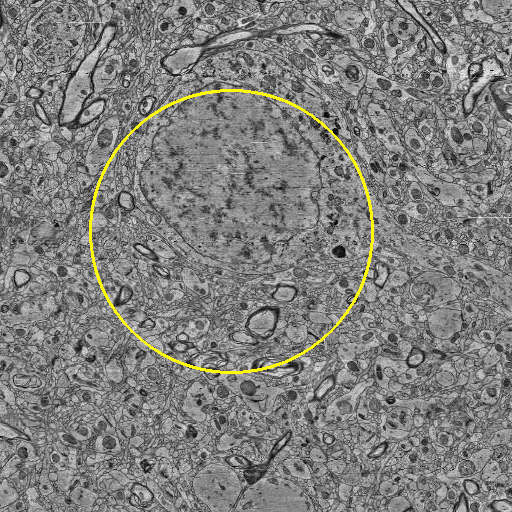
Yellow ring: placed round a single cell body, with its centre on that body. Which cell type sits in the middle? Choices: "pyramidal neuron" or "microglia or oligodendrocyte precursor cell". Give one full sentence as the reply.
It is a pyramidal neuron whose cell body sits at the centre of the yellow ring.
